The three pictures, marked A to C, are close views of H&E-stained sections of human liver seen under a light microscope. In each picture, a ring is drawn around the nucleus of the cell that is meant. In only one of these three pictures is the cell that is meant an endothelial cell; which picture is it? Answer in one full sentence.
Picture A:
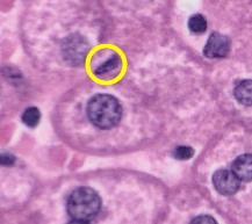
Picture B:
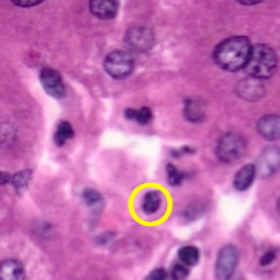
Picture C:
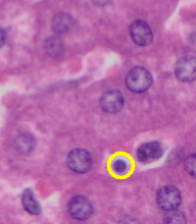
The cell in picture A is the endothelial cell.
